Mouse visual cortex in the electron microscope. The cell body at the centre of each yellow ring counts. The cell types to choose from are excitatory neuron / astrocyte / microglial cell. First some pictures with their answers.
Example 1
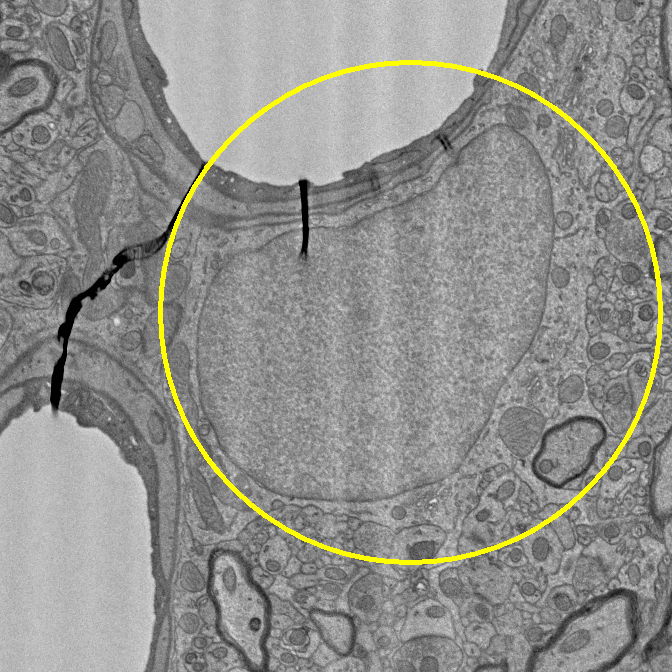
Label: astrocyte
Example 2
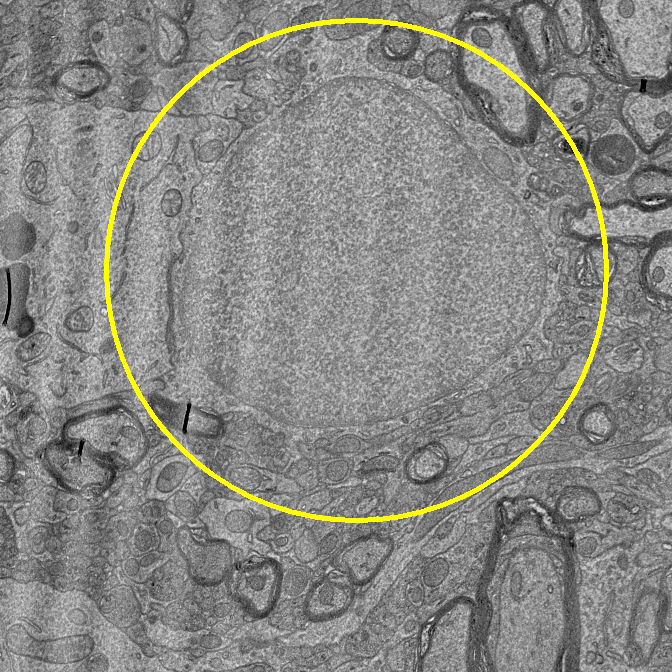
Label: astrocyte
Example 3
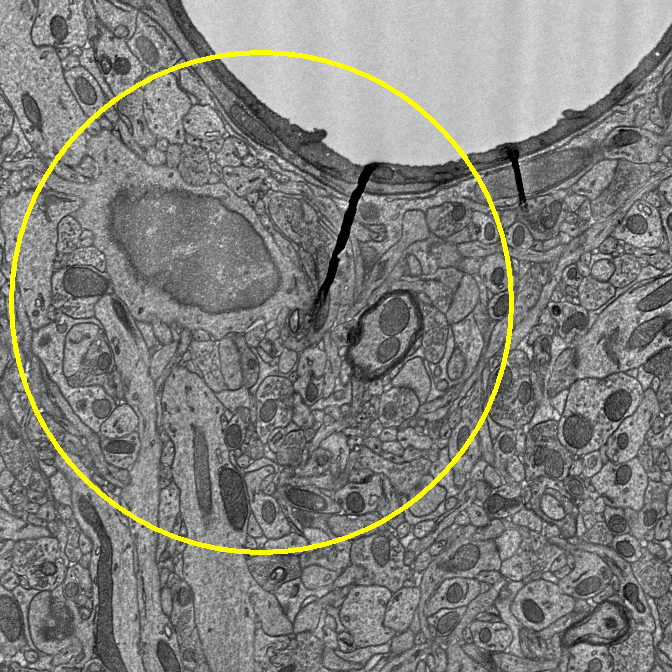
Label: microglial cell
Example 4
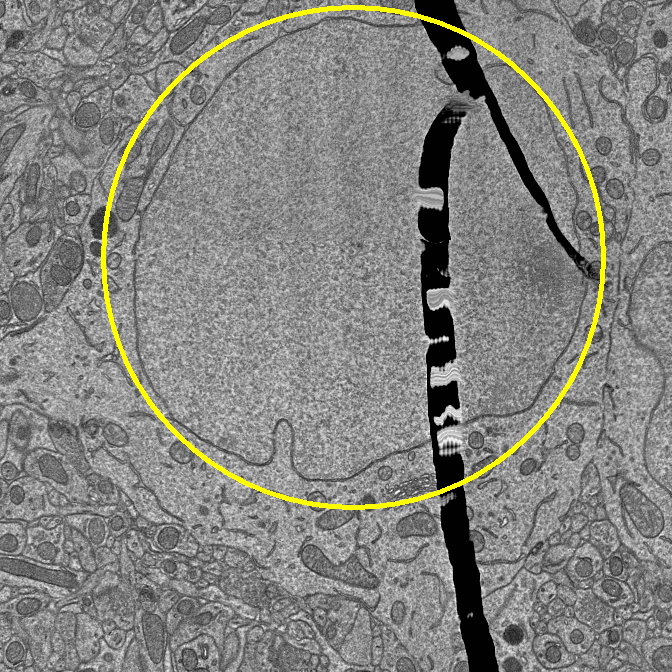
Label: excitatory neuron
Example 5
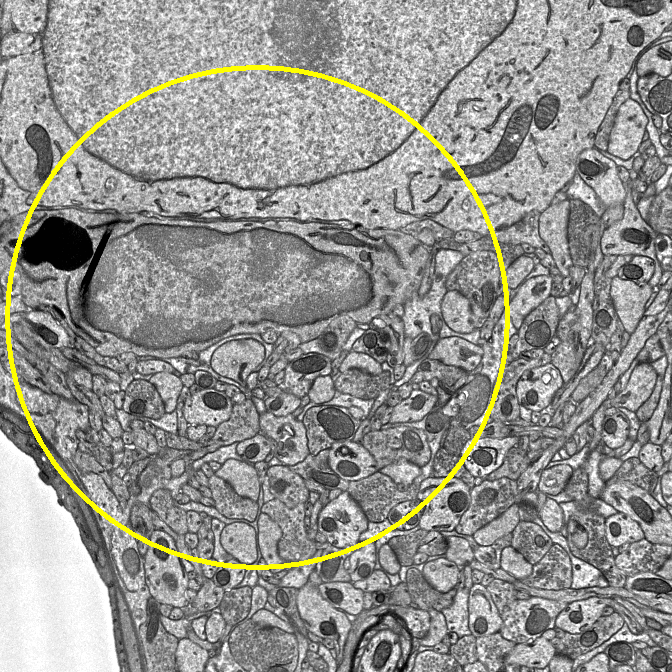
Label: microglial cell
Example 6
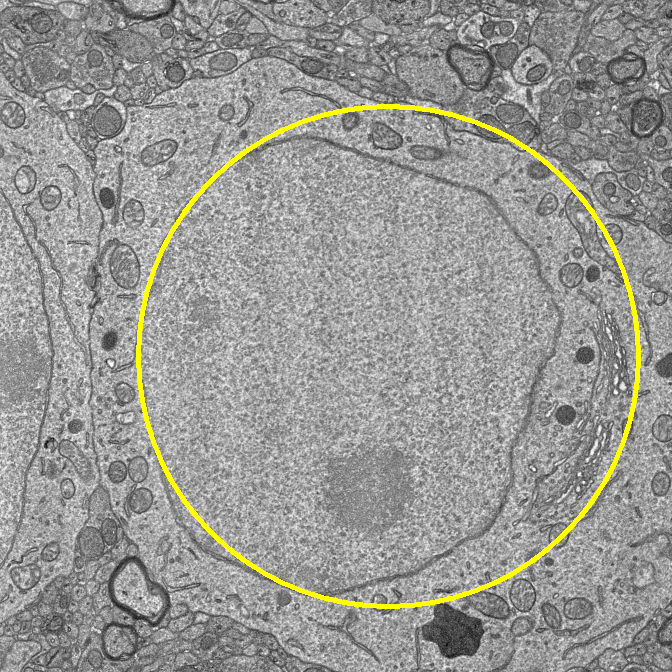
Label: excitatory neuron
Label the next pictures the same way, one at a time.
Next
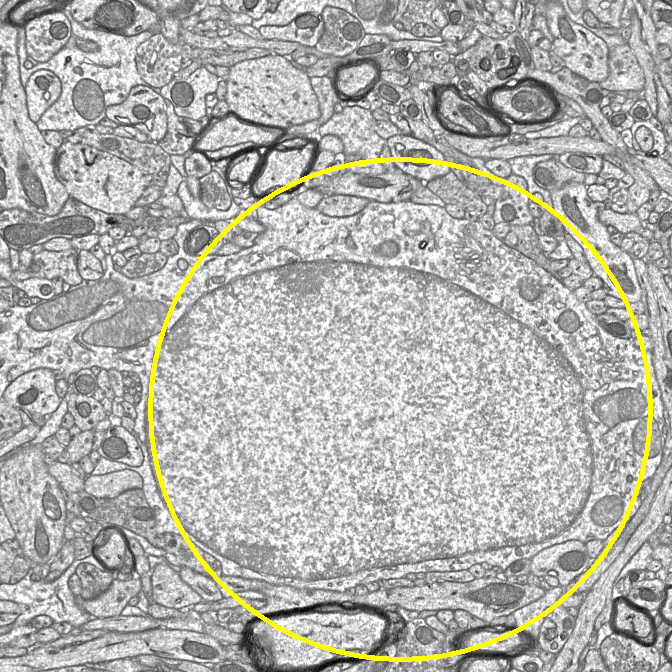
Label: astrocyte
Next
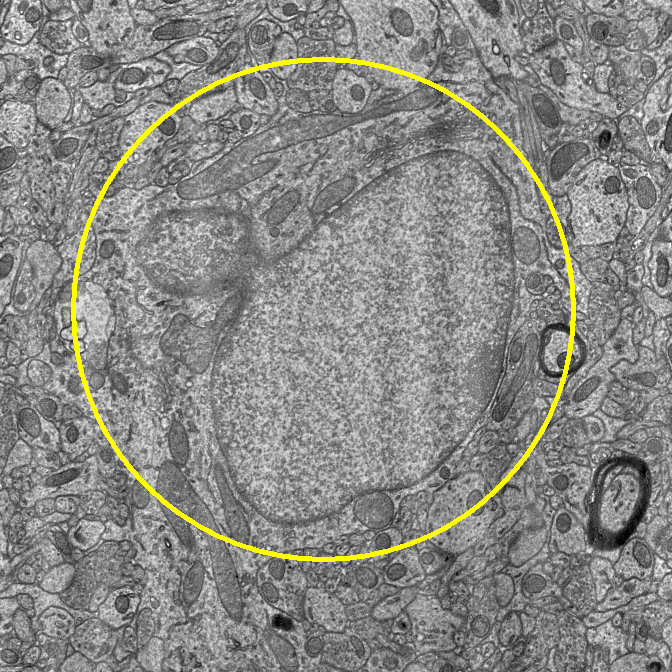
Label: astrocyte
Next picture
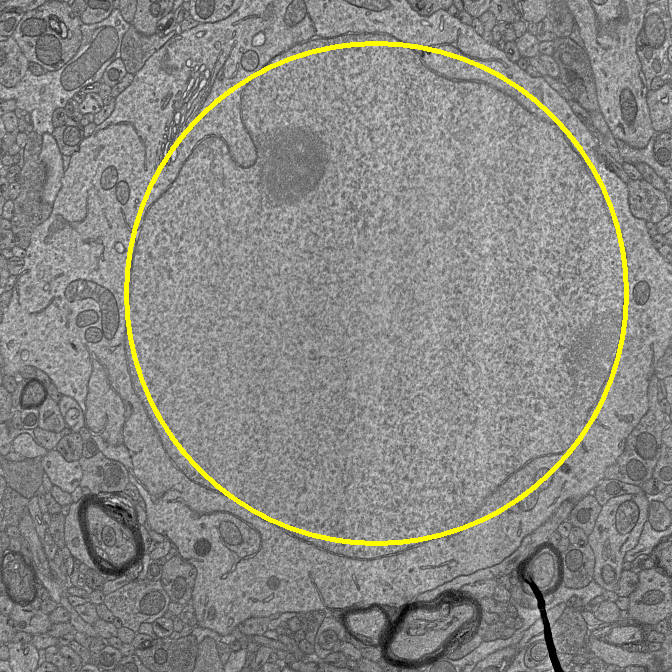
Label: excitatory neuron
